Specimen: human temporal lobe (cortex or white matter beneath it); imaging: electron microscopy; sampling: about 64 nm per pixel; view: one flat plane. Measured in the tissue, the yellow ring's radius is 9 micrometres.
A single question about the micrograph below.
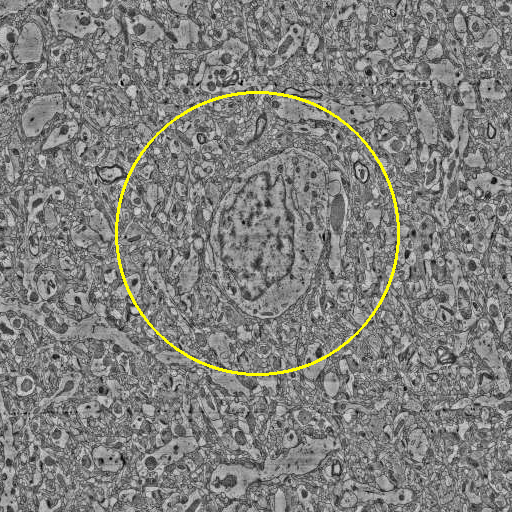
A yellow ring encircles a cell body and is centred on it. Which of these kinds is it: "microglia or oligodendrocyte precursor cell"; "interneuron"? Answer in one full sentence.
The cell body at the centre of the yellow ring belongs to an interneuron.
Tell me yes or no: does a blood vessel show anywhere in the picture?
No, the picture includes no blood vessel.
